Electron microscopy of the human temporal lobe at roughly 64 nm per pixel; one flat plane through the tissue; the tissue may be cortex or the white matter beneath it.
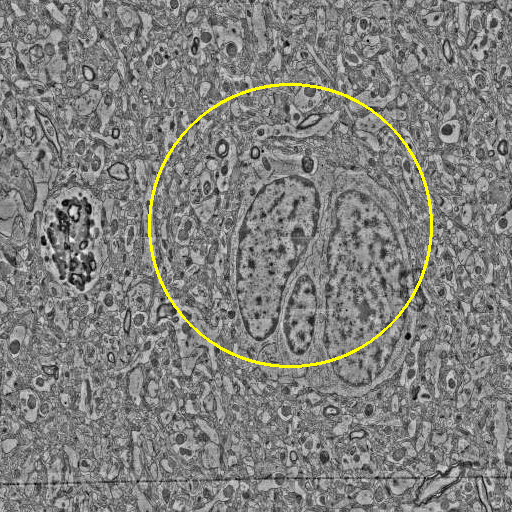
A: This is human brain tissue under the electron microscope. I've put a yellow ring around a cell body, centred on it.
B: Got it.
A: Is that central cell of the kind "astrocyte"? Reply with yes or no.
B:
no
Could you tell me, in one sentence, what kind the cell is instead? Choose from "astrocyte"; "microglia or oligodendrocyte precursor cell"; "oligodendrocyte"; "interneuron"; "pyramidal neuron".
The cell circled by the yellow ring is a microglial cell or oligodendrocyte precursor cell.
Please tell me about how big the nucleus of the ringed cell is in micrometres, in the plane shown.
About 14 by 11 micrometres in this plane.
